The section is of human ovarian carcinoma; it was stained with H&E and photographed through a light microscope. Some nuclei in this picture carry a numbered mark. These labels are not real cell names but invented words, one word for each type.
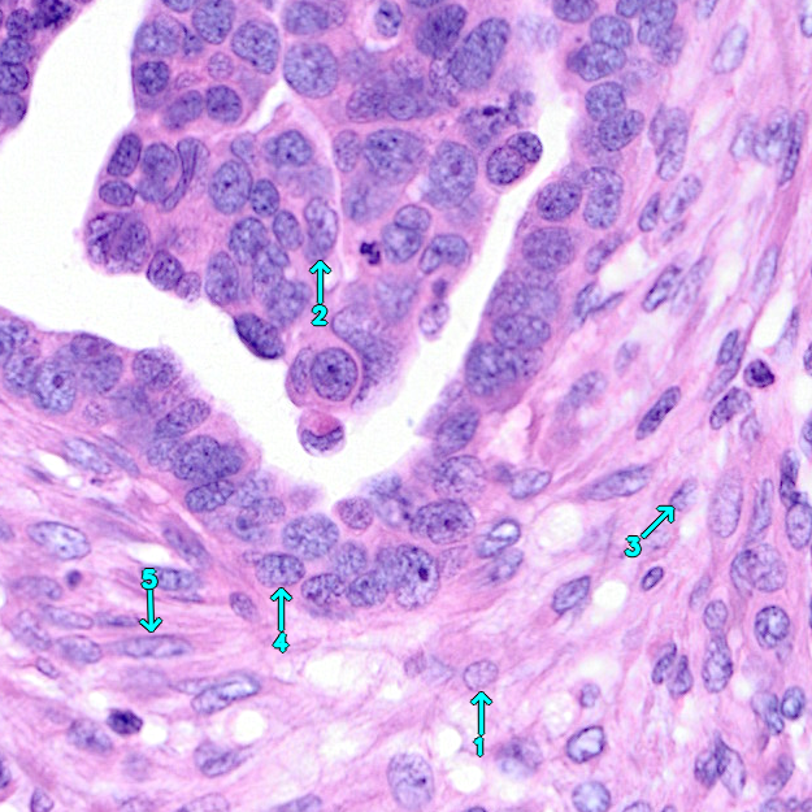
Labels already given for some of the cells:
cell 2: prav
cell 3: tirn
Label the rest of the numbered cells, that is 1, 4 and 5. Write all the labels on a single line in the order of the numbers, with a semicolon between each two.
tirn; prav; tirn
